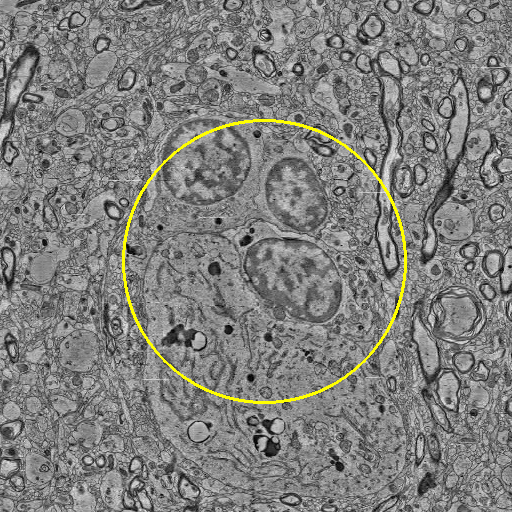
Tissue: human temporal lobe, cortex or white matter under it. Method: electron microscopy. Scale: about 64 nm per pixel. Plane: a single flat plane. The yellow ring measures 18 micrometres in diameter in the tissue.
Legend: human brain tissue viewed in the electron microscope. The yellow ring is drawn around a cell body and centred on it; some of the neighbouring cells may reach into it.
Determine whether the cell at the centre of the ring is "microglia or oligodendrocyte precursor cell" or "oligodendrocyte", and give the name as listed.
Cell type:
microglia or oligodendrocyte precursor cell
